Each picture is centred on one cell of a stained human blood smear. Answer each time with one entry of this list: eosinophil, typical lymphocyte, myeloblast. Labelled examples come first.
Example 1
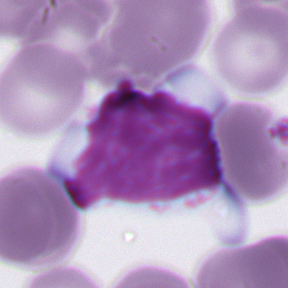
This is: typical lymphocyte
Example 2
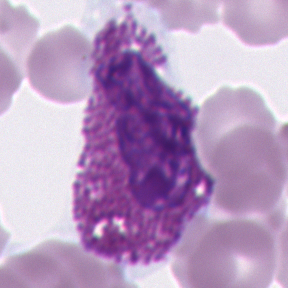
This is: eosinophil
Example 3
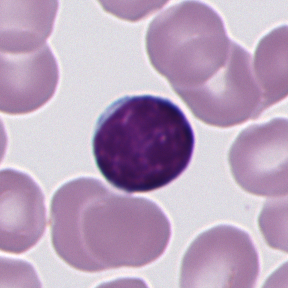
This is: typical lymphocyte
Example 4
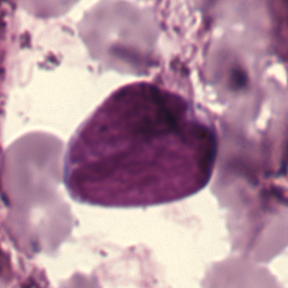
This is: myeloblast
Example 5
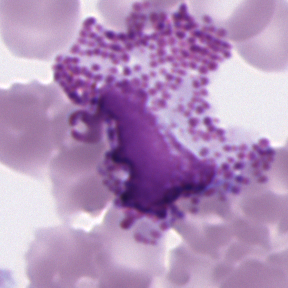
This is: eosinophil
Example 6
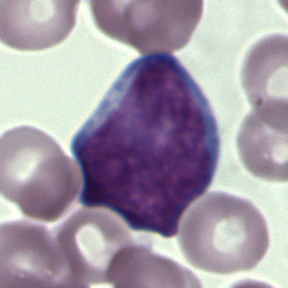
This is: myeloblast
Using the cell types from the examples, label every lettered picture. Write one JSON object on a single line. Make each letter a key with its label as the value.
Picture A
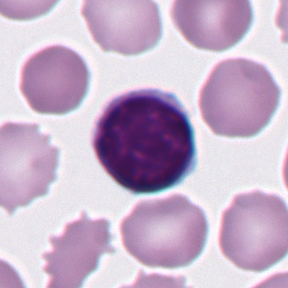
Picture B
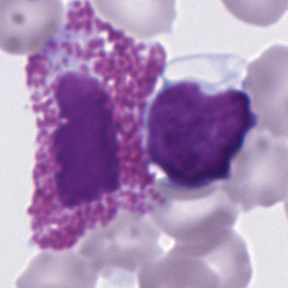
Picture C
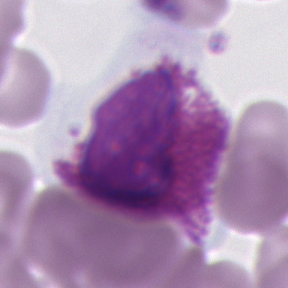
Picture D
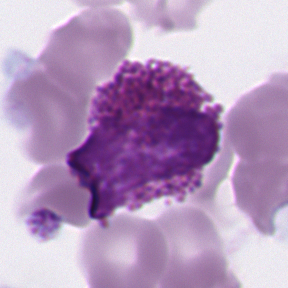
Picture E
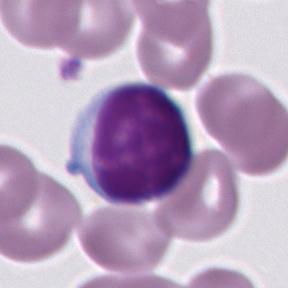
{"A": "typical lymphocyte", "B": "eosinophil", "C": "eosinophil", "D": "eosinophil", "E": "typical lymphocyte"}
